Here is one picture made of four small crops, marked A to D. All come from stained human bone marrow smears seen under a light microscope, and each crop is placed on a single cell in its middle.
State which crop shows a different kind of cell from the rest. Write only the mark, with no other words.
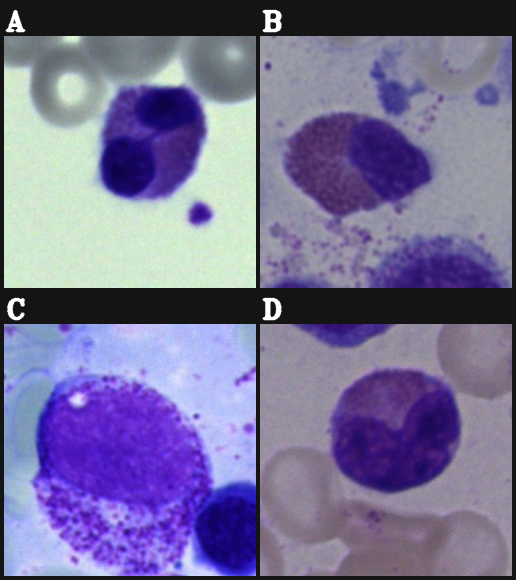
C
